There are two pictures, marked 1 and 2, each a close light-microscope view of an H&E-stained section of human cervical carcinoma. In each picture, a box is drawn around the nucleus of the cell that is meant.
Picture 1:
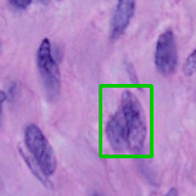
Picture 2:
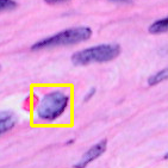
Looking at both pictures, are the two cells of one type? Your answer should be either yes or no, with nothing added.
no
